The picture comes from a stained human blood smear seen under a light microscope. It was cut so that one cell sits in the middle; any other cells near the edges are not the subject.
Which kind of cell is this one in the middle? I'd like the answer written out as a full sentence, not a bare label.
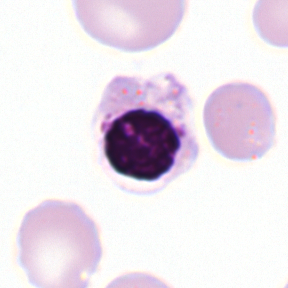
The central element of this crop is a cell, namely a normoblast.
